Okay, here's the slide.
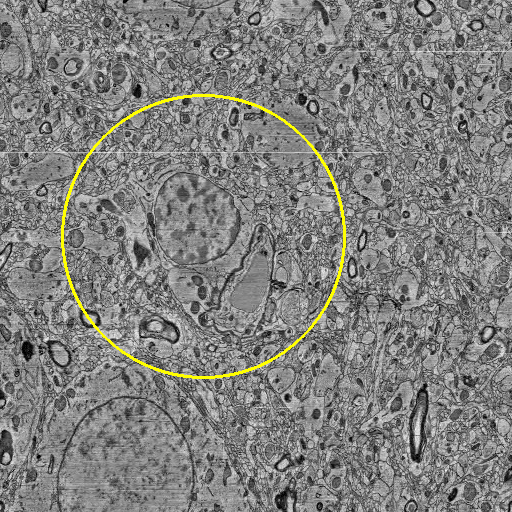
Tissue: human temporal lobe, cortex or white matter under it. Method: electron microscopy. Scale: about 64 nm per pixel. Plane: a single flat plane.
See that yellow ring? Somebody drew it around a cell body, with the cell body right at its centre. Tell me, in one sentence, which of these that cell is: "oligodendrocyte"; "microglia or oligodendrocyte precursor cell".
The cell in the middle of the ring is a microglial cell or oligodendrocyte precursor cell.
